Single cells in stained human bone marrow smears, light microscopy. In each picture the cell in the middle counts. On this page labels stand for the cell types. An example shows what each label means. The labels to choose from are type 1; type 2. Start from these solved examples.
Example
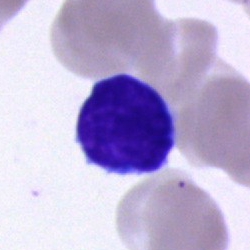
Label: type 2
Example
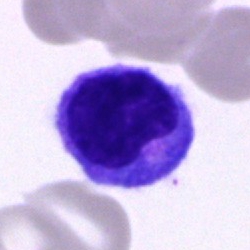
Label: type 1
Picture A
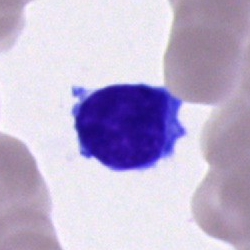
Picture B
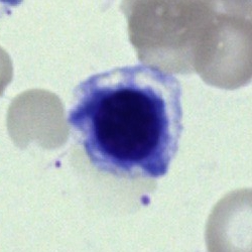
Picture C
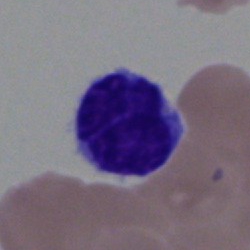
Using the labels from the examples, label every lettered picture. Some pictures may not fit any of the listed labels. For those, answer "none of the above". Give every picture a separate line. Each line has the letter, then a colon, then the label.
A: type 2
B: none of the above
C: type 2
